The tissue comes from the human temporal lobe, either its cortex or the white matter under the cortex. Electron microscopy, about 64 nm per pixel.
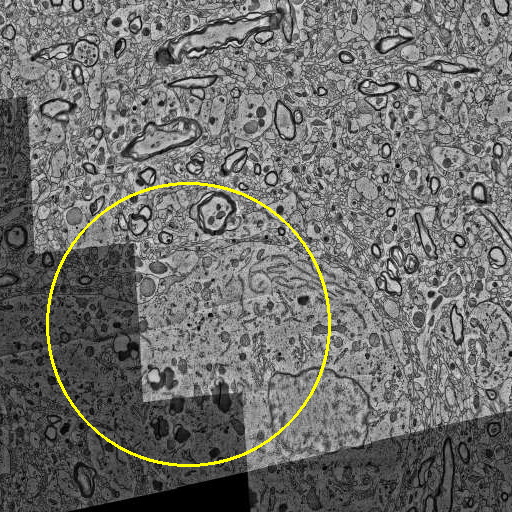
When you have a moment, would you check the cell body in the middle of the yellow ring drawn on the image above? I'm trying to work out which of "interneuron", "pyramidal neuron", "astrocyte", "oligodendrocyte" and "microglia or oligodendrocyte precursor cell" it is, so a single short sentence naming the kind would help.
This cell body belongs to an oligodendrocyte.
